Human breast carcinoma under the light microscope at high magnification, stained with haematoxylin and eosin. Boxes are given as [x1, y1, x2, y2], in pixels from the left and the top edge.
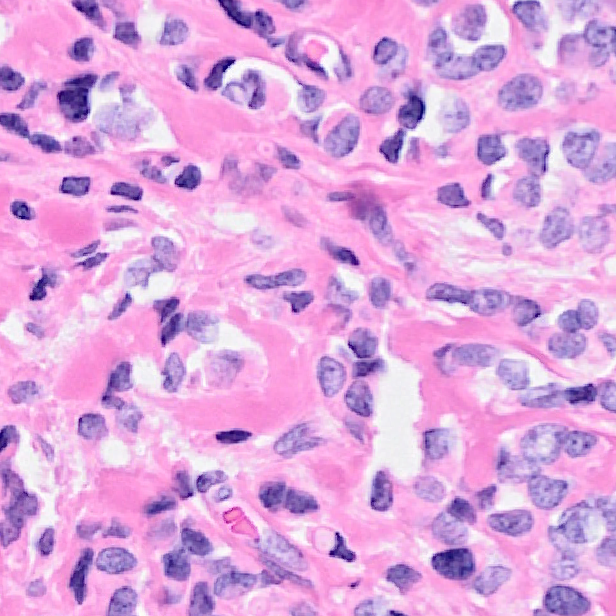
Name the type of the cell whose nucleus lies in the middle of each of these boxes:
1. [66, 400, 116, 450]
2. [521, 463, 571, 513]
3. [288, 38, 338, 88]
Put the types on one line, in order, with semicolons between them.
carcinoma cell; carcinoma cell; endothelial cell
